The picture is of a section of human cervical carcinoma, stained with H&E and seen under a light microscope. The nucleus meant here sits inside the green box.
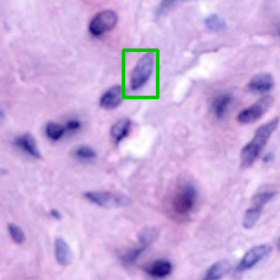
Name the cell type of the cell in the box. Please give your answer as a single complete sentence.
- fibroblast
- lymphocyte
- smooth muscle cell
In short, the cell in the box on this section is a fibroblast.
